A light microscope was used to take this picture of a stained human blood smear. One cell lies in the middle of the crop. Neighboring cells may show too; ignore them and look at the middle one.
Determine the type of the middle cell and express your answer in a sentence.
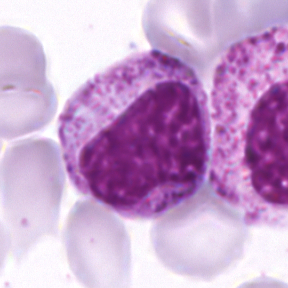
The cell that lies at the centre of the crop is a myelocyte.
